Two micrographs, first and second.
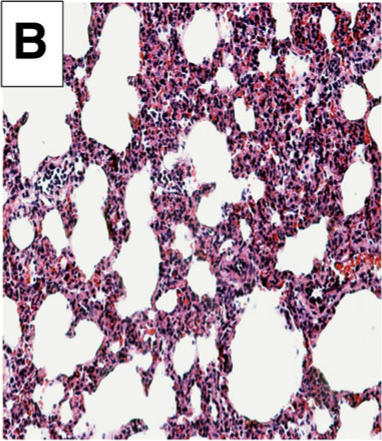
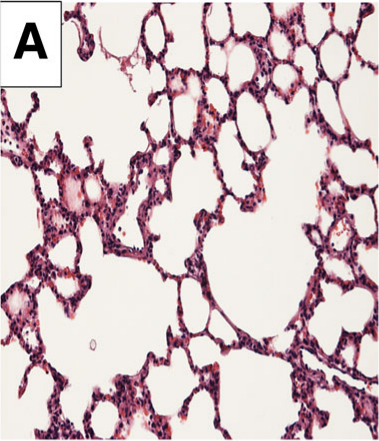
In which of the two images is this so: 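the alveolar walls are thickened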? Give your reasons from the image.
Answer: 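Second image: thin alveolar septa surround large open air spaces. First image: broad, densely cellular septa leave fewer, smaller air spaces. That points to this answer: the first image.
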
